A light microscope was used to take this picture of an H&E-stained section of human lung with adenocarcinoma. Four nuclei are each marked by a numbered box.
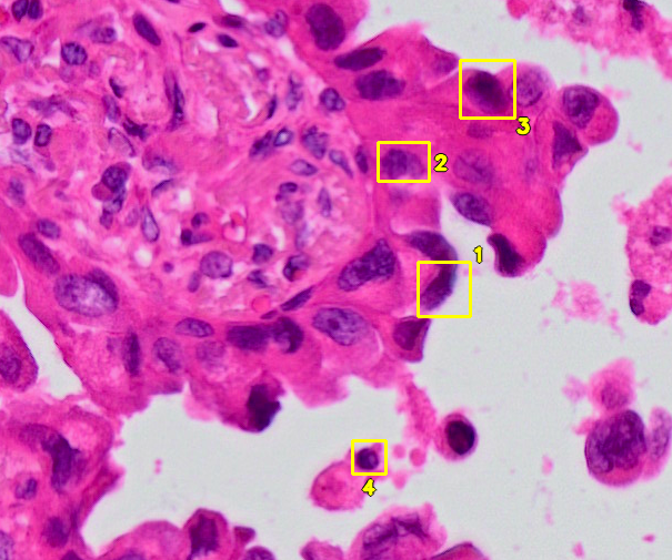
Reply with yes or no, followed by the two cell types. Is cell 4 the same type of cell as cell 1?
No, cell 4 is recognized as a lymphocyte, and cell 1 as a carcinoma cell.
